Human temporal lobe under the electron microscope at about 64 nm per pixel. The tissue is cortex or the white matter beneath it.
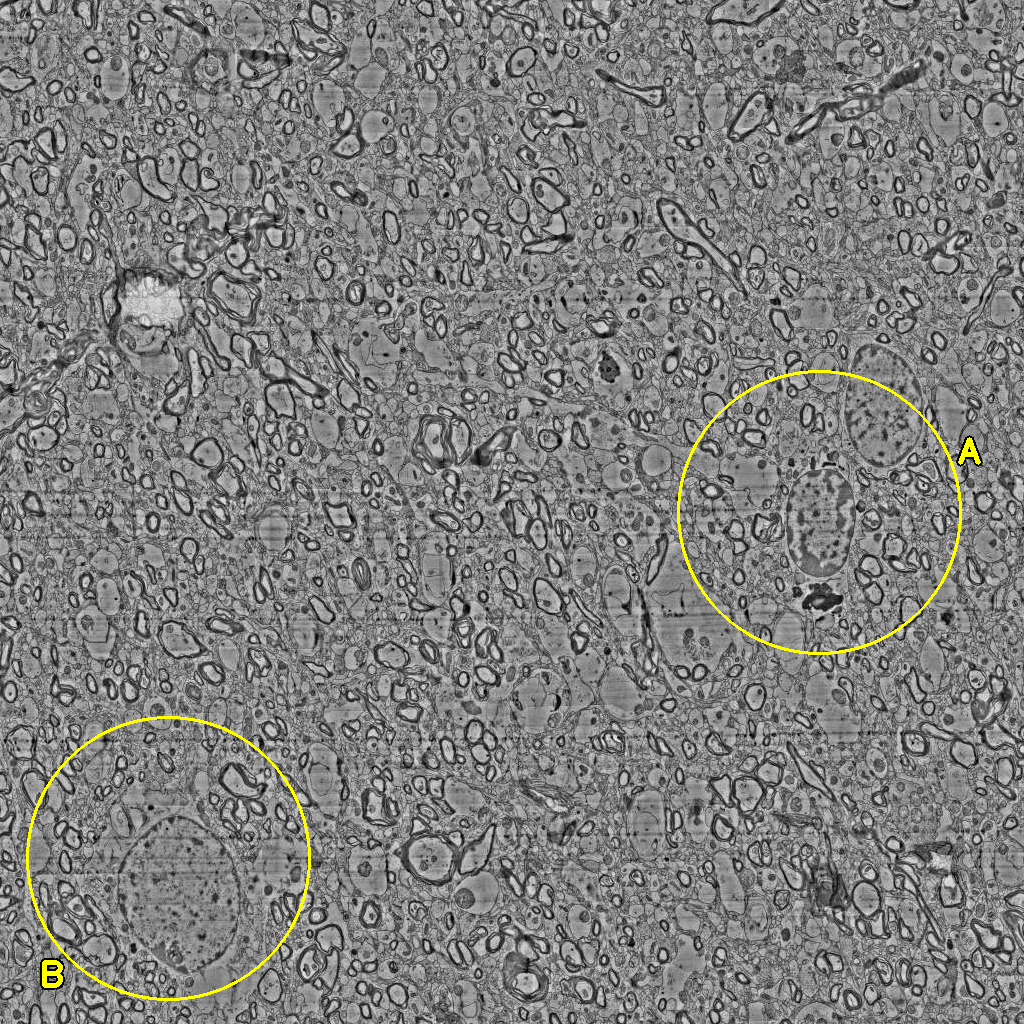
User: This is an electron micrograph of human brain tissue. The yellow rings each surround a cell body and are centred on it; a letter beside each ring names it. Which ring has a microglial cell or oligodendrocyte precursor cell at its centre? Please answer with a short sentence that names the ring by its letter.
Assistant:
Ring A has it at its centre.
